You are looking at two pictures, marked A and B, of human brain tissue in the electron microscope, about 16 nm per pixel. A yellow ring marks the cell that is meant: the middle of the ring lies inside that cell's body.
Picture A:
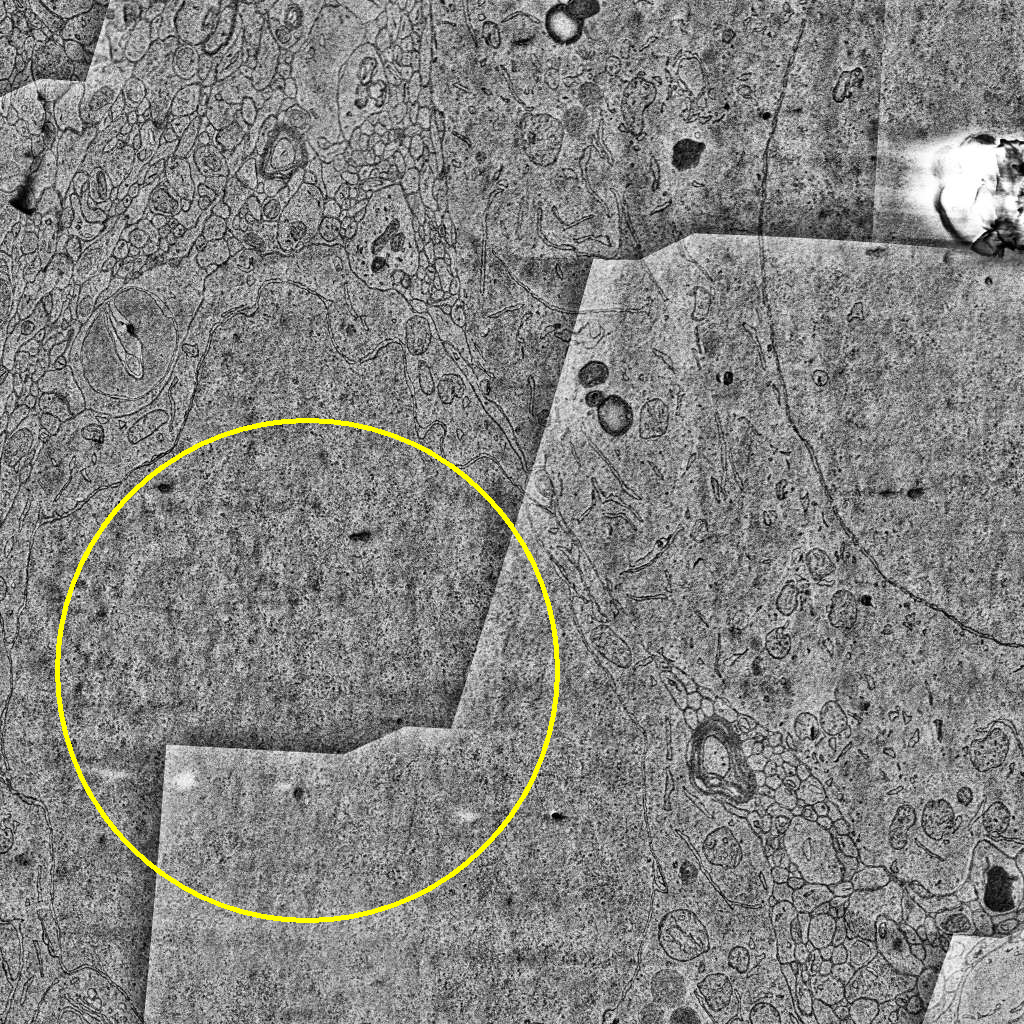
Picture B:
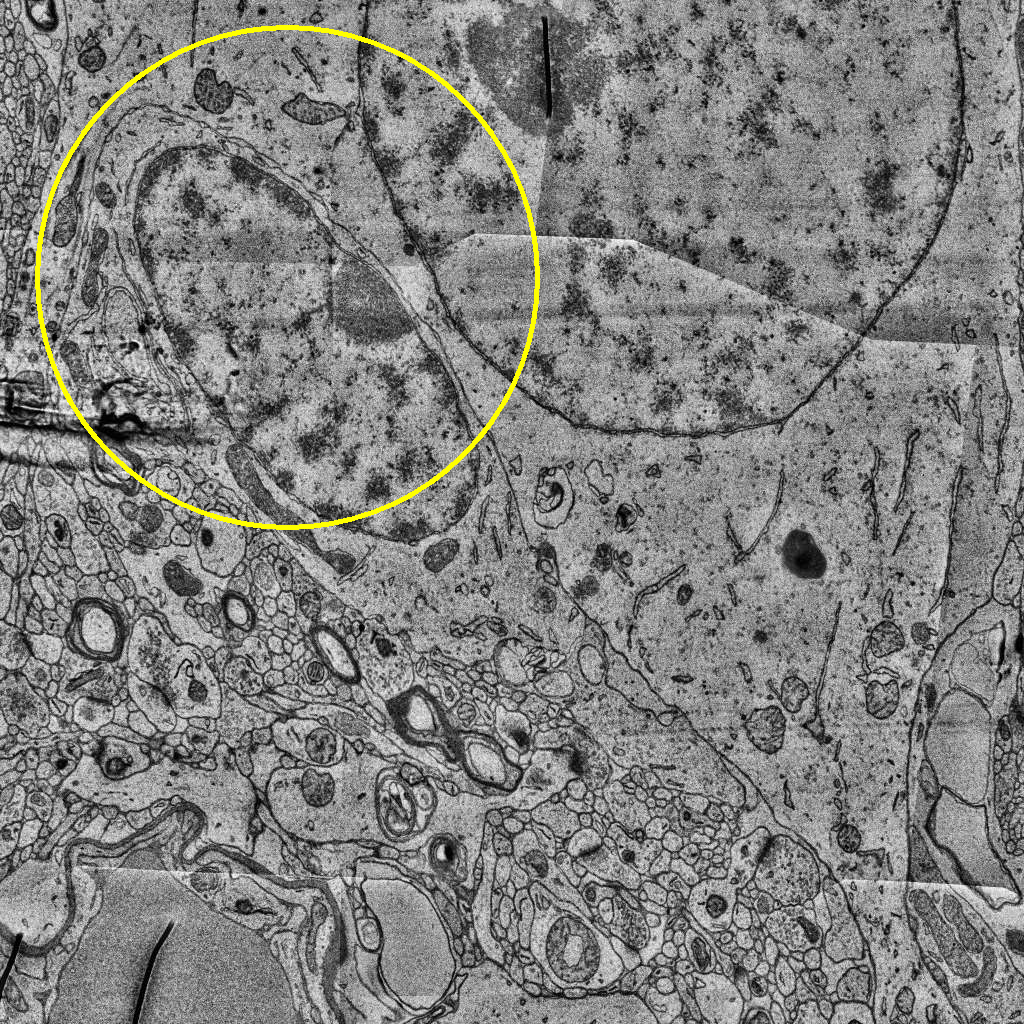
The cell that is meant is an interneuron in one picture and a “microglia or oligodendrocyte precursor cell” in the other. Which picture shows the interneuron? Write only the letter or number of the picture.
A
